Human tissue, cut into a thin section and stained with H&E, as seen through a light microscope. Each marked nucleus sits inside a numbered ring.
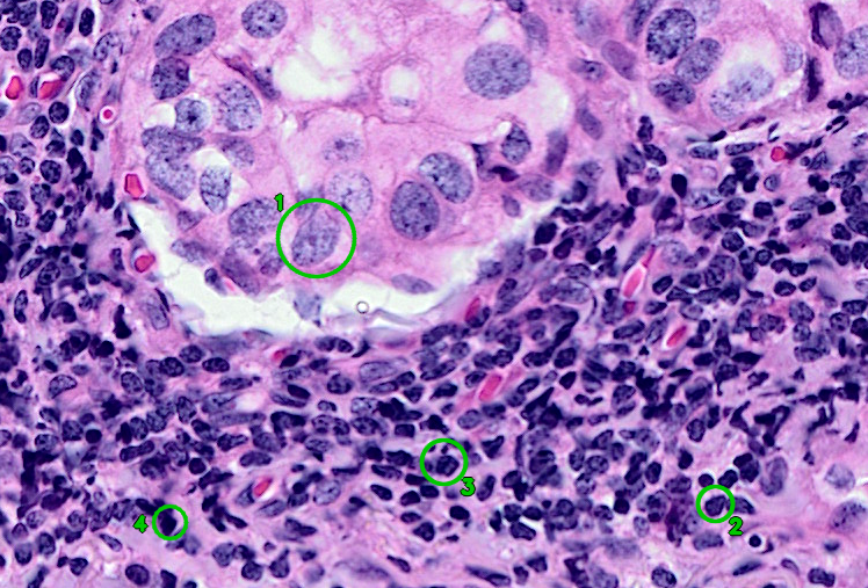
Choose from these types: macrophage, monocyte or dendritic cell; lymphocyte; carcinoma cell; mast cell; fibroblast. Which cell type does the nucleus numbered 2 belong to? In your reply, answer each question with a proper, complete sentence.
The numeral 2 marks a lymphocyte in this section.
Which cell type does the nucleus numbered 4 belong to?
The marked nucleus 4 is that of a lymphocyte.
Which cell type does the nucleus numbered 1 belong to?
In this section, number 1 marks a carcinoma cell.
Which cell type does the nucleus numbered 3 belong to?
The identity of cell 3 is that of a lymphocyte.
